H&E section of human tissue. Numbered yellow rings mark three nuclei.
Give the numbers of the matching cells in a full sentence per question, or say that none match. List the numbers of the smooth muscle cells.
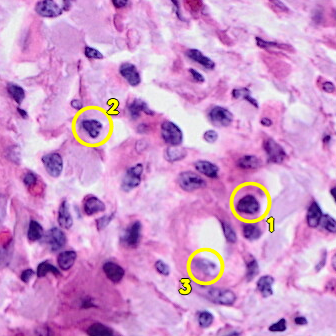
Identified by number, the marked cells include no smooth muscle cells.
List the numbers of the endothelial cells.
Among the numbered cells, the one that is an endothelial cell is cell 3 alone.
